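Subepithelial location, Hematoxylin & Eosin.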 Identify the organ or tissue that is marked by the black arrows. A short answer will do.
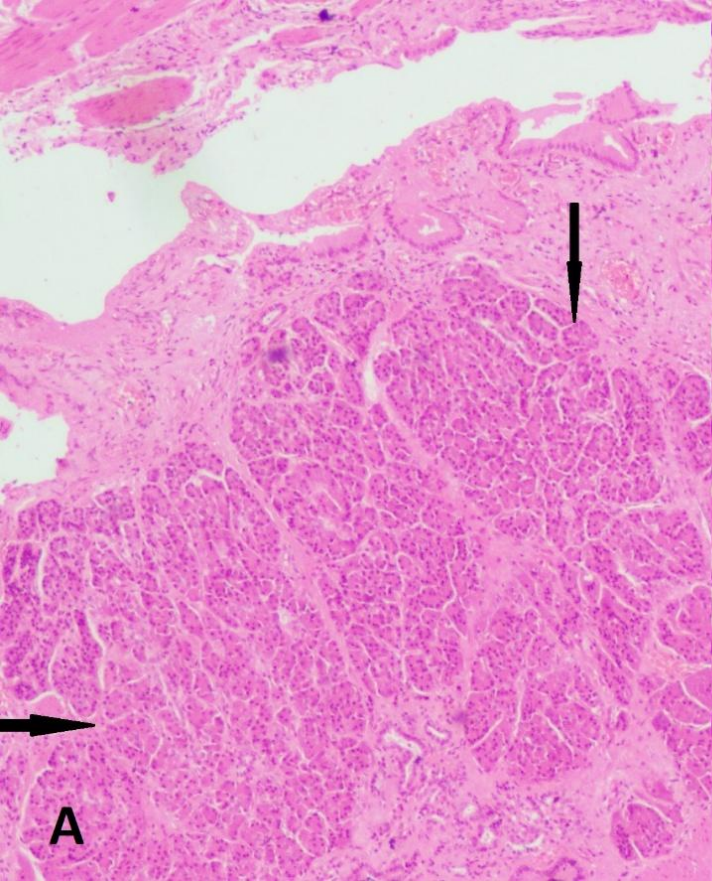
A: ectopic pancreatic tissue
